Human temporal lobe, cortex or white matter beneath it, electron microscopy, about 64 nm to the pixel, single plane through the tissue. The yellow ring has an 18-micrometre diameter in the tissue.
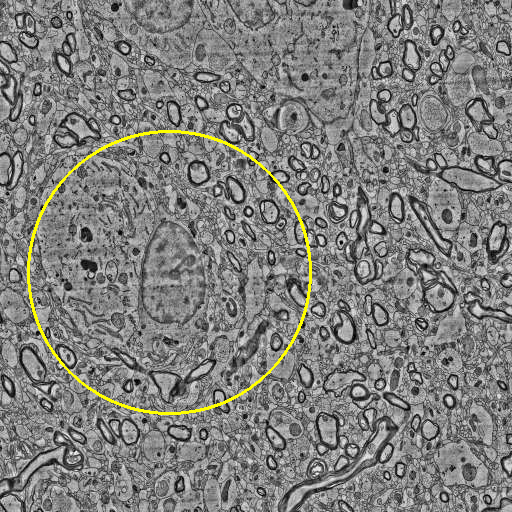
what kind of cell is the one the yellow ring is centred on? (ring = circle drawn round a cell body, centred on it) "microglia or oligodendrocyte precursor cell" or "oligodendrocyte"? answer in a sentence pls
The ring is drawn around an oligodendrocyte.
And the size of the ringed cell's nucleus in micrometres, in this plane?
Approximately 7 micrometres long and 4 micrometres wide, so clearly longer than it is wide in this plane.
